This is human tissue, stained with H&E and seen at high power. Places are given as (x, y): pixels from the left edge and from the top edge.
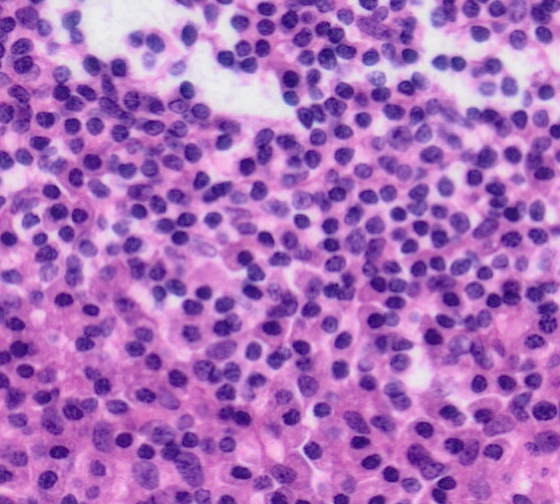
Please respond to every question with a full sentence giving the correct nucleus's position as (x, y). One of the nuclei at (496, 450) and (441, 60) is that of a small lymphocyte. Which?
That would be the nucleus at (441, 60); it belongs to a small lymphocyte.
